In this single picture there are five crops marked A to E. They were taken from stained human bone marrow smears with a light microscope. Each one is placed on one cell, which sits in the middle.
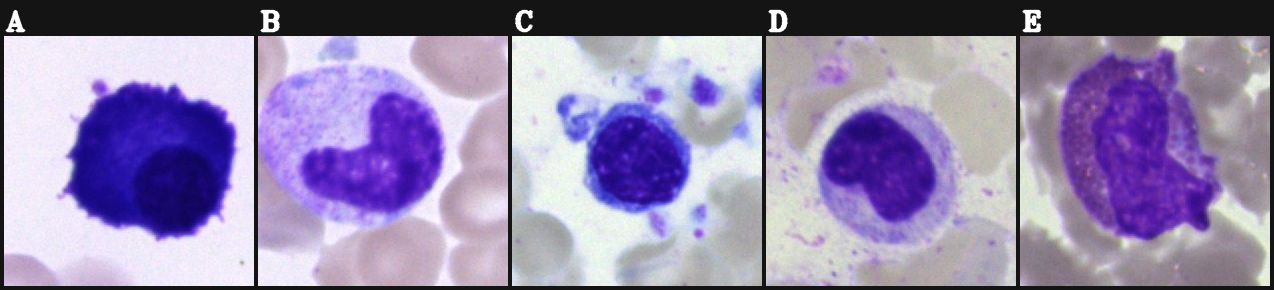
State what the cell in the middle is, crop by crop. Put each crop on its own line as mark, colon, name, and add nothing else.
A: plasma cell
B: metamyelocyte
C: lymphocyte
D: metamyelocyte
E: eosinophil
